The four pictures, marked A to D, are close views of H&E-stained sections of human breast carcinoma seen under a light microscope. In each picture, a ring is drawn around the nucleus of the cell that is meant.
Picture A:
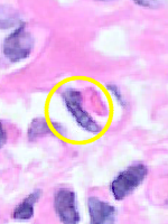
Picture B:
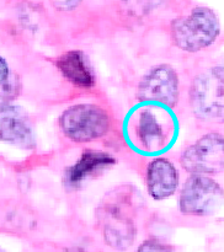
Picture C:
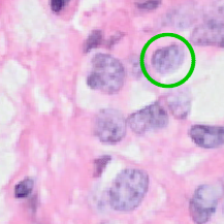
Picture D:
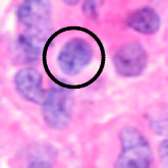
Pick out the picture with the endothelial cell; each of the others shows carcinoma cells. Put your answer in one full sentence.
Picture A shows the endothelial cell.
